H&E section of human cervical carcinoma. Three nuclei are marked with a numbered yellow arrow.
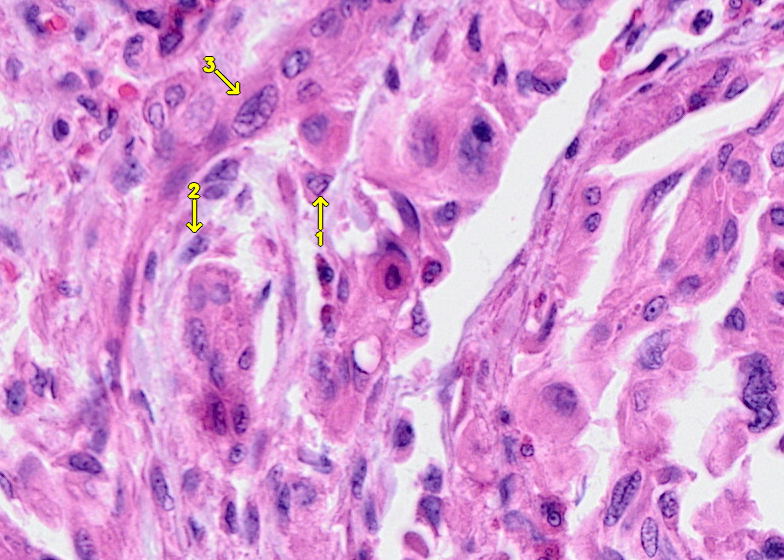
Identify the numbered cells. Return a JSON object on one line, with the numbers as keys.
{"1": "macrophage or monocyte", "2": "fibroblast", "3": "squamous carcinoma cell"}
